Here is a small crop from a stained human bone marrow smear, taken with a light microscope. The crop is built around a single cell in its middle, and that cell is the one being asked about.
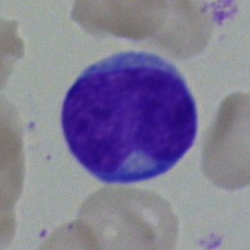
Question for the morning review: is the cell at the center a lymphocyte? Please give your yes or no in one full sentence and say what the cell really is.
No, the centre cell counts as a blast, not as a lymphocyte.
